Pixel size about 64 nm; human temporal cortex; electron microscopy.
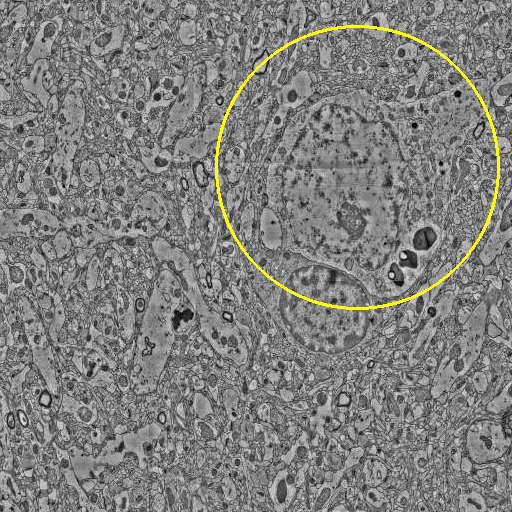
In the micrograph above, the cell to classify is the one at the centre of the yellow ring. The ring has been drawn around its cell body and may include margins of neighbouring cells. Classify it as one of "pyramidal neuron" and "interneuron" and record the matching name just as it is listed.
interneuron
